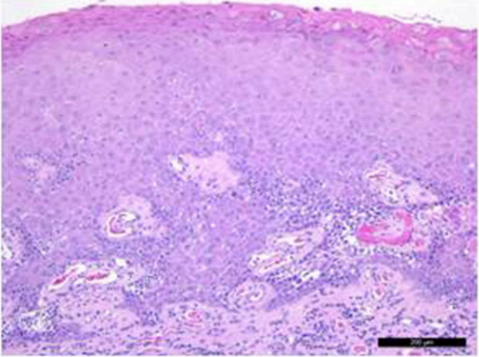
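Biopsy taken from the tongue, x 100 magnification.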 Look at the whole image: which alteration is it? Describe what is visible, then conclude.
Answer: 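The squamous epithelium is markedly thickened. A pink keratin layer covers the surface.
Answer: epithelial hyperplasia with hyperkeratosis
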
